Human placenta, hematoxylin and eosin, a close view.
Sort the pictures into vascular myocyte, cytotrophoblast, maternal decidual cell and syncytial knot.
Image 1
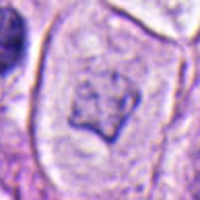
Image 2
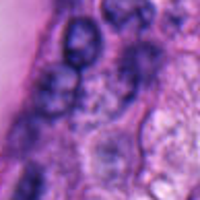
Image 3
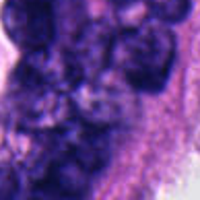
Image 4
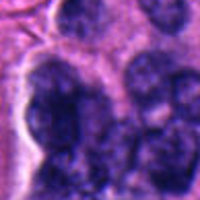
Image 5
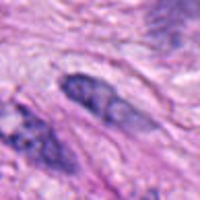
Maternal decidual cells: 1
Cytotrophoblasts: 2
Syncytial knots: 3, 4
Vascular myocytes: 5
